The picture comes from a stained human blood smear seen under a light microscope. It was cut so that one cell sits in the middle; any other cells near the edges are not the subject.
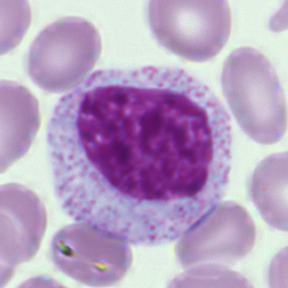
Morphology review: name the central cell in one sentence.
To answer, the cell in the center of the crop is a metamyelocyte.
